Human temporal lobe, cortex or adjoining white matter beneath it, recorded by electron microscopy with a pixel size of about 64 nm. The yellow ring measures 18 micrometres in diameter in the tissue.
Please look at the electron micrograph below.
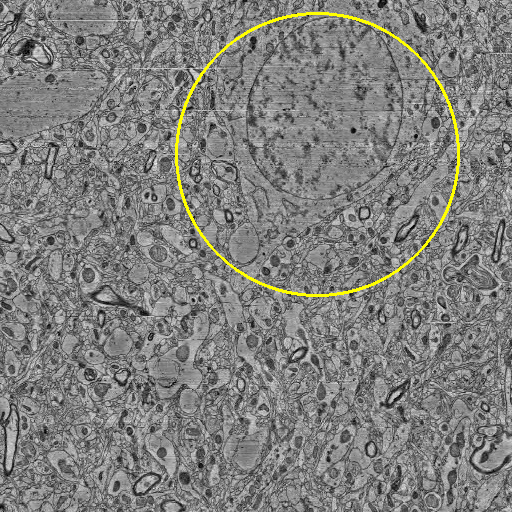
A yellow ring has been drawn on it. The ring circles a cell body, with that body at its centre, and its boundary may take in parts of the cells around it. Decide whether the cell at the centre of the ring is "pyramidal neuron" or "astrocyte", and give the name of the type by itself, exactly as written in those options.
pyramidal neuron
